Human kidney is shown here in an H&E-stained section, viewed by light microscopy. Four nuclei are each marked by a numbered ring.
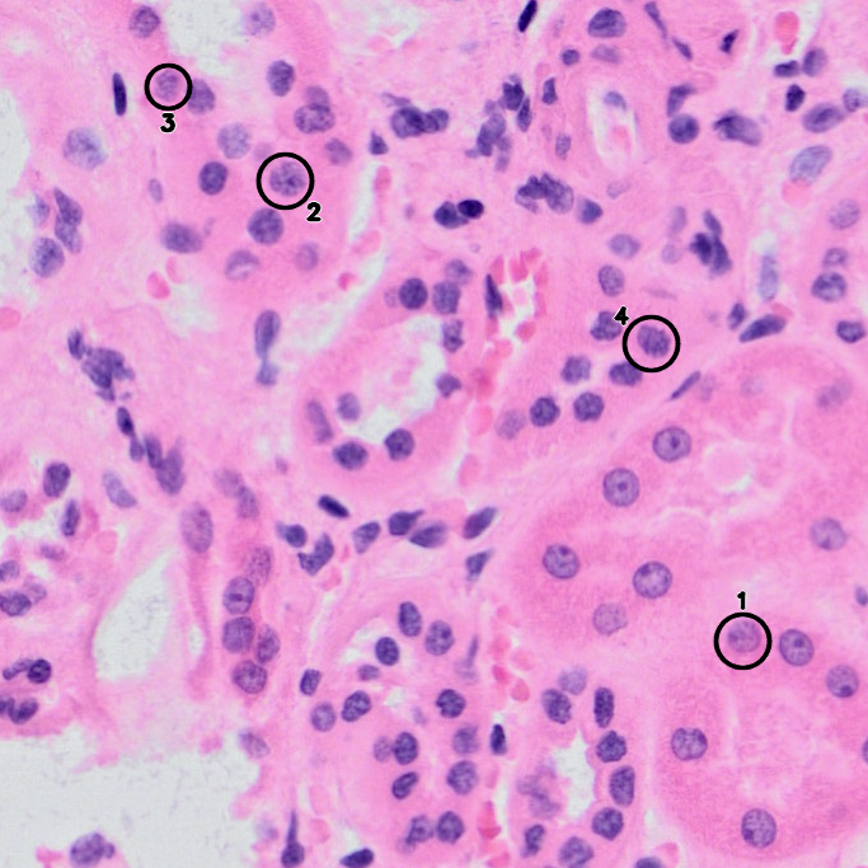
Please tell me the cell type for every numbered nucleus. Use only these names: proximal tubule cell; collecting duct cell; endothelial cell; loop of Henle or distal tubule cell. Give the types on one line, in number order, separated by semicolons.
proximal tubule cell; loop of Henle or distal tubule cell; loop of Henle or distal tubule cell; loop of Henle or distal tubule cell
